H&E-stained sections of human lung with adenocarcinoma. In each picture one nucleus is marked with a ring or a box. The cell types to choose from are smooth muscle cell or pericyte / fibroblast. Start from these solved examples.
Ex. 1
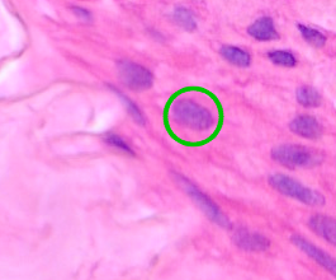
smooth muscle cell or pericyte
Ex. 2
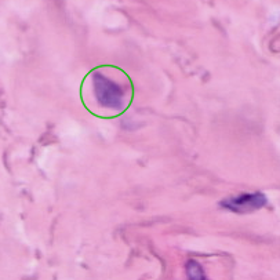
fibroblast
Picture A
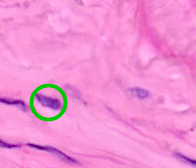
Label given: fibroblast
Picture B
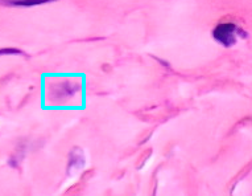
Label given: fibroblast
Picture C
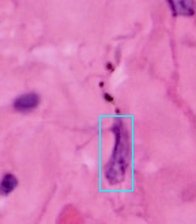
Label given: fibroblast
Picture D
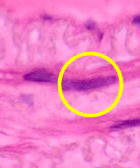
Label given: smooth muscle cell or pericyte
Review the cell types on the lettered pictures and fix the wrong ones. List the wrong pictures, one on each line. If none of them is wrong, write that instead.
All correct.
